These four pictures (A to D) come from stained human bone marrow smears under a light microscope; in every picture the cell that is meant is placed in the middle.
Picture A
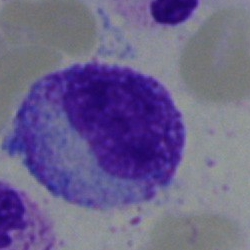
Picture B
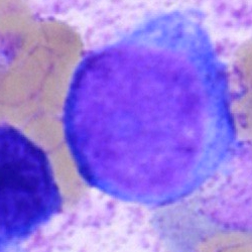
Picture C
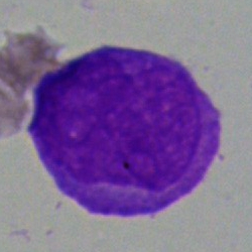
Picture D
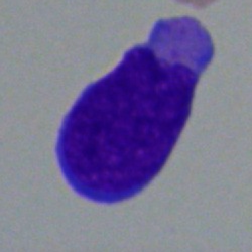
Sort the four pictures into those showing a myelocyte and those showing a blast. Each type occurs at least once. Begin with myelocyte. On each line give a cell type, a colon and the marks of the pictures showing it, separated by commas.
myelocyte: A
blast: B, C, D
